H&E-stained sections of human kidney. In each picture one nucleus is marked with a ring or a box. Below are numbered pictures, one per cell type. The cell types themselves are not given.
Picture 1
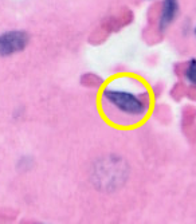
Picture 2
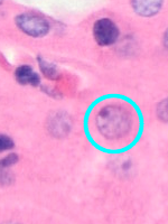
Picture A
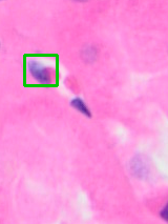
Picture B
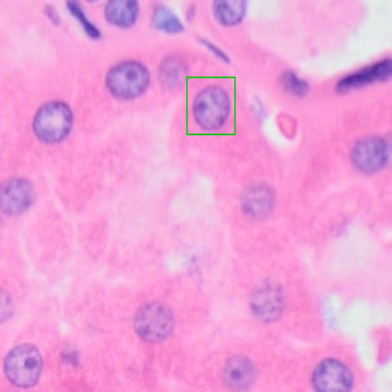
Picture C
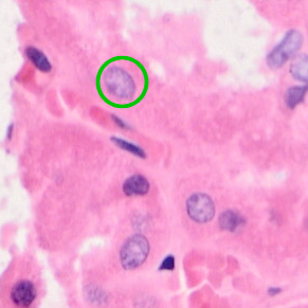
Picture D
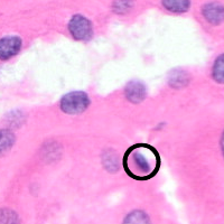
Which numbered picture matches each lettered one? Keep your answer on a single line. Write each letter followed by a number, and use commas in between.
A 1, B 2, C 2, D 1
